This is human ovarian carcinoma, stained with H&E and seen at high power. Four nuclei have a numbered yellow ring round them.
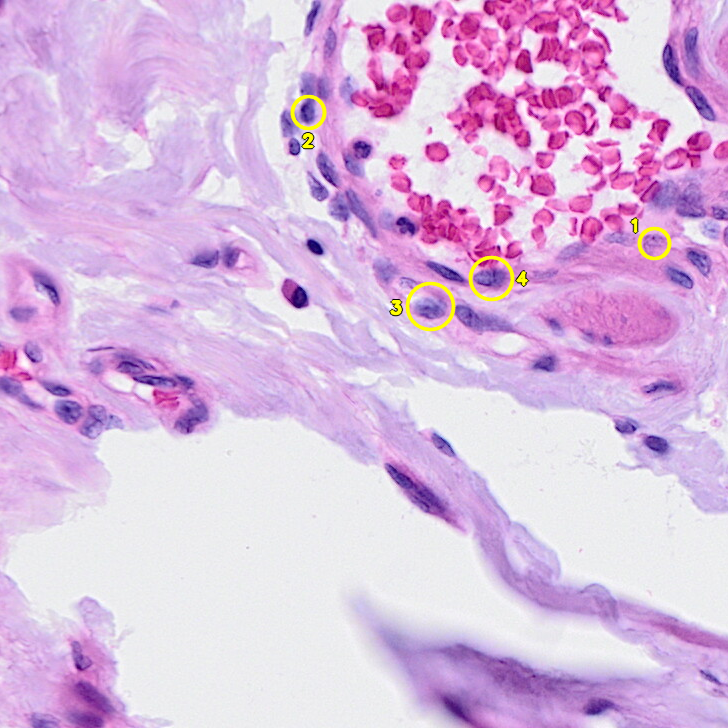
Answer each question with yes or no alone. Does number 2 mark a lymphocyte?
yes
